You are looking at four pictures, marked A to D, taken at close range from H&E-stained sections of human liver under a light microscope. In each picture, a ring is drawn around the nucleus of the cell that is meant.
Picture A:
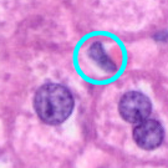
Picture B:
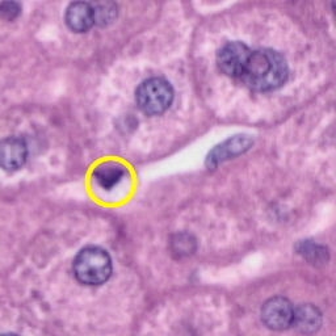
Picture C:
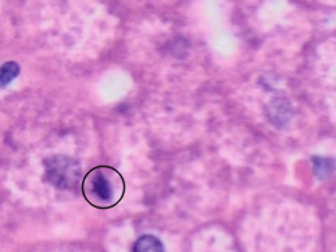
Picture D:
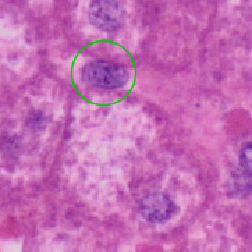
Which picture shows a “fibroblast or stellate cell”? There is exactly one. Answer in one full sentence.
Picture C shows the “fibroblast or stellate cell”.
